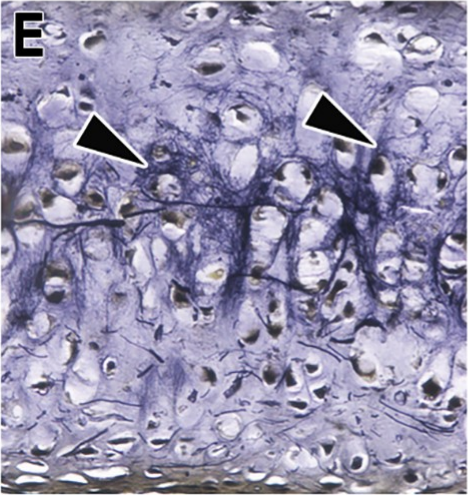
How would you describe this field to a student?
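This is cartilage with rounded chondrocytes sitting in clear lacunae scattered through a pale violet matrix. Many lacunae hold a small dark cell body, and some lacunae appear empty or shrunken. Dark blue-black thread-like fibres run through the matrix between the lacunae, some long and branching, most concentrated across the middle of the field. Toward the lower edge the lacunae become smaller and flatter.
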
